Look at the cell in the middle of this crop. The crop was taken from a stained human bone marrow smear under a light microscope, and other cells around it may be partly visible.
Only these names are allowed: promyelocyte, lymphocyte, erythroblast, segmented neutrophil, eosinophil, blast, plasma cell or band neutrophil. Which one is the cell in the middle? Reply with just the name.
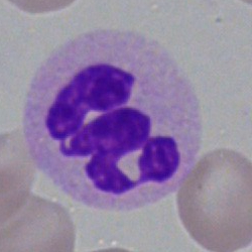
segmented neutrophil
